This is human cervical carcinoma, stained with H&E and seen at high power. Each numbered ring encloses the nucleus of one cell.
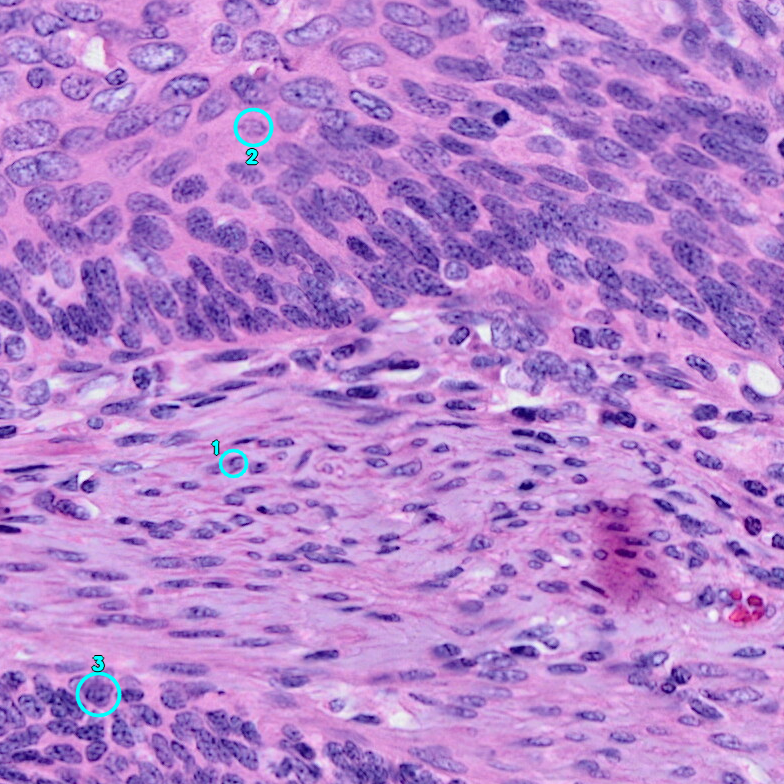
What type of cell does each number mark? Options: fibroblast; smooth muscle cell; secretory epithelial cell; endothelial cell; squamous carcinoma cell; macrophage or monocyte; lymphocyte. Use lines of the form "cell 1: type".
cell 1: smooth muscle cell
cell 2: squamous carcinoma cell
cell 3: squamous carcinoma cell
